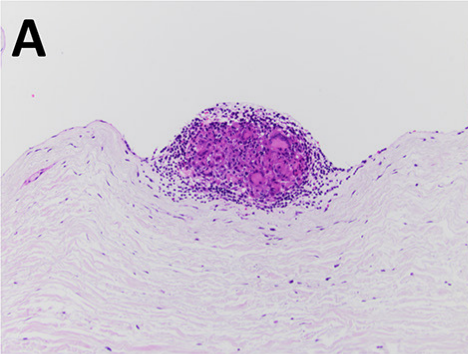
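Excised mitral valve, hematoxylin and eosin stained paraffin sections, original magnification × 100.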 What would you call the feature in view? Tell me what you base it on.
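A small, compact nodule of cells bulges from the surface of the tissue. Pale, sparsely cellular fibrous tissue lies beneath the nodule. The nodule has no central necrosis. A dense rim of small dark cells surrounds paler pink cells with giant cells at its centre.
Non-necrotizing granuloma.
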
